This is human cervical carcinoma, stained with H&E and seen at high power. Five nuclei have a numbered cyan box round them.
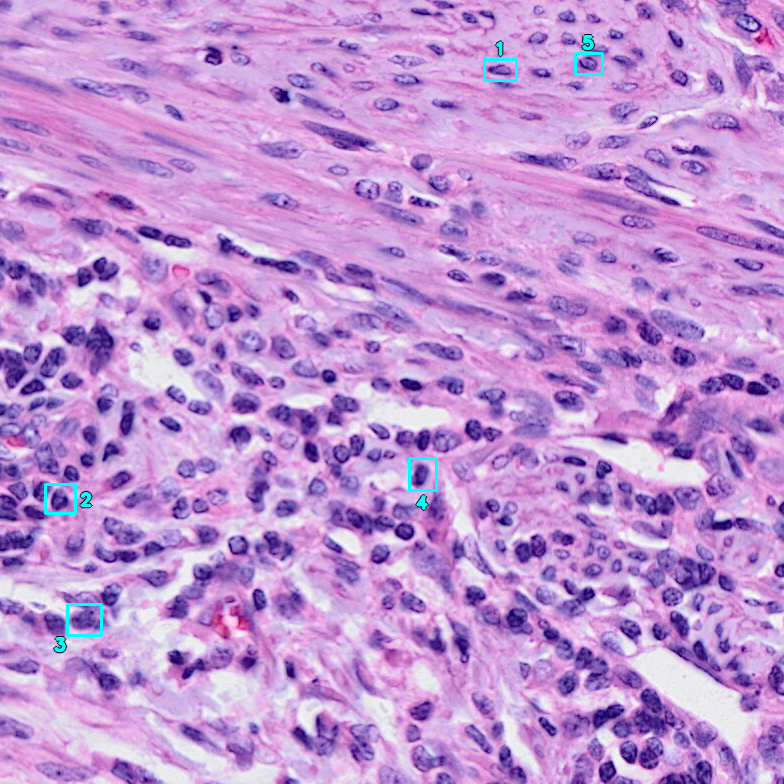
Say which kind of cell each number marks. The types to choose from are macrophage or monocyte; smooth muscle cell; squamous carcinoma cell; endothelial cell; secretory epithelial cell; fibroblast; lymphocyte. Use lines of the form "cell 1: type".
cell 1: smooth muscle cell
cell 2: lymphocyte
cell 3: lymphocyte
cell 4: lymphocyte
cell 5: smooth muscle cell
